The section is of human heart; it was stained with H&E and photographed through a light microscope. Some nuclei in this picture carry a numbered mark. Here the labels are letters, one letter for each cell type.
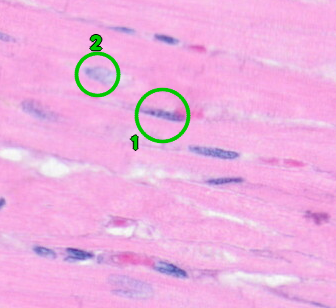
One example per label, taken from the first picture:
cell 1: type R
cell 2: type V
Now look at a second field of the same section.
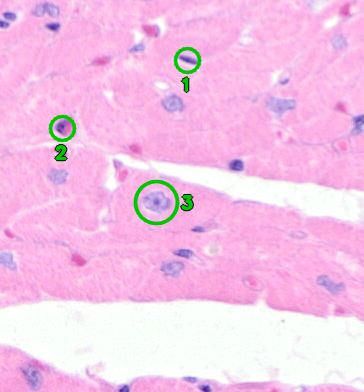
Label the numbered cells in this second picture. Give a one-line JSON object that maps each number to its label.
{"1": "type R", "2": "type R", "3": "type V"}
